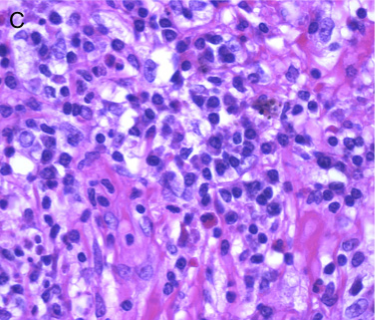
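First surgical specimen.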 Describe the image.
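This high-power view shows a dense infiltrate of lymphocytes and plasma cells. The lymphocytes are small round cells with dark, compact nuclei and little cytoplasm. The plasma cells are somewhat larger, with round, eccentrically placed nuclei and more abundant purplish cytoplasm. Thin strands of pink fibrous stroma run between the cells, and a few larger pale cells with open nuclei lie among them.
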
